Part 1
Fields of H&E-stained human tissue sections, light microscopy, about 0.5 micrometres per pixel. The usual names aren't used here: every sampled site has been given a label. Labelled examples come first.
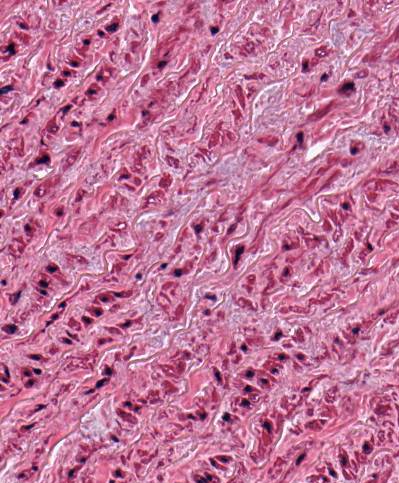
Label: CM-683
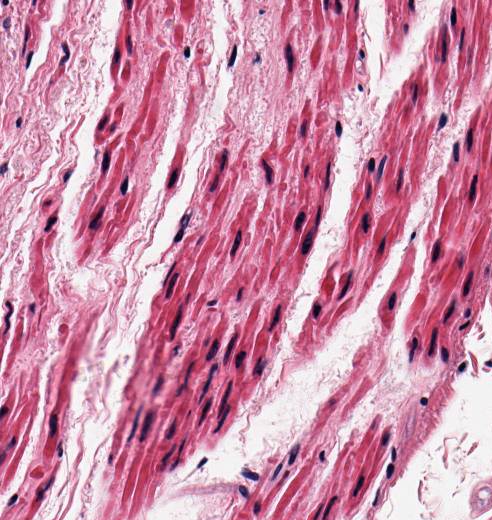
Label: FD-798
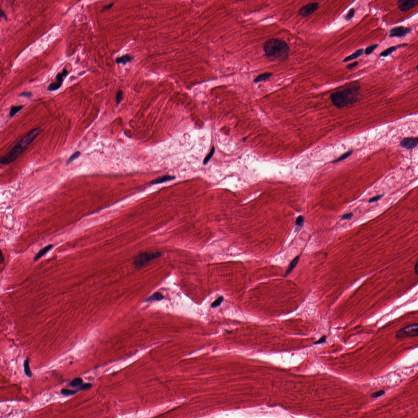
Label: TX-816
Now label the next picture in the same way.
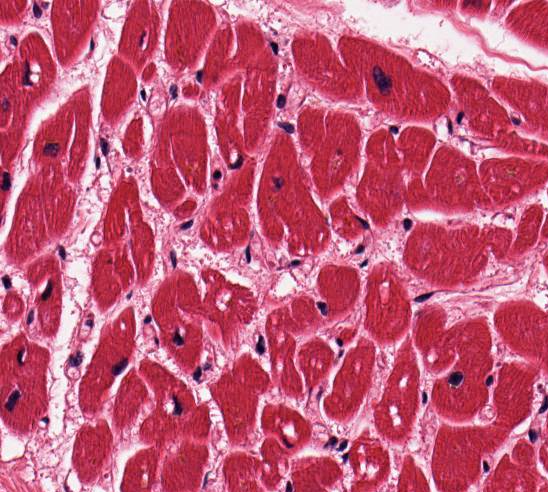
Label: TX-816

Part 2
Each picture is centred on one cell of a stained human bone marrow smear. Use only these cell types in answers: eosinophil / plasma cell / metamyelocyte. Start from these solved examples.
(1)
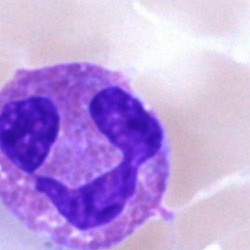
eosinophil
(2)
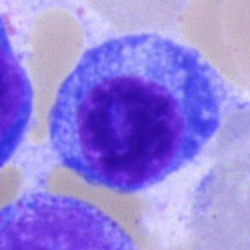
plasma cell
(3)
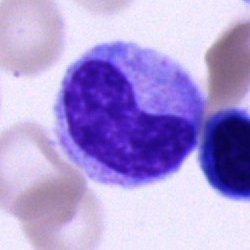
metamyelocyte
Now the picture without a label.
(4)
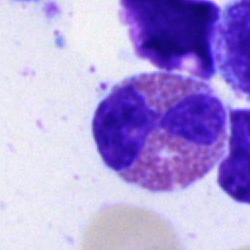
eosinophil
